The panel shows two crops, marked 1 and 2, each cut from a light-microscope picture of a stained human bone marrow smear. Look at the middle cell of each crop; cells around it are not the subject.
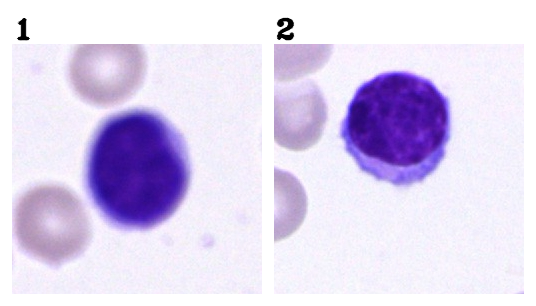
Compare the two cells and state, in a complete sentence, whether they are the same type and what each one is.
Yes, in the middle of both crops, lymphocytes are shown.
